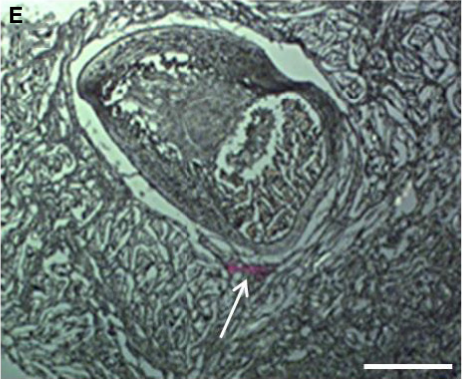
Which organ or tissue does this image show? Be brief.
follicle‐sinus complex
